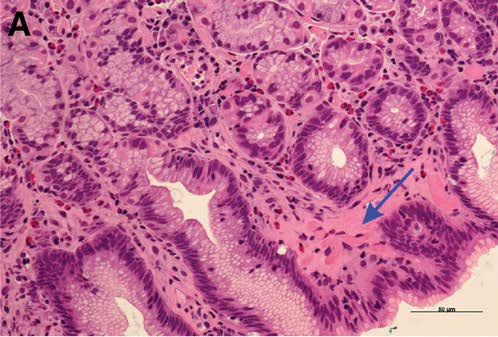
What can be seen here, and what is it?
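This is gastric mucosa with surface foveolar epithelium and underlying glands in a pink and purple stain. The foveolar cells are tall and columnar with pale mucin-filled tops and dark elongated nuclei at their bases. Beneath the surface epithelium runs a thick homogeneous pink band with only a few spindle-shaped nuclei. The lamina propria between the glands holds scattered inflammatory cells, a few of them with bright red-pink granular cytoplasm as eosinophils have. Glands are cut in cross-section as round profiles with central lumens.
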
